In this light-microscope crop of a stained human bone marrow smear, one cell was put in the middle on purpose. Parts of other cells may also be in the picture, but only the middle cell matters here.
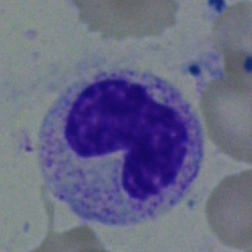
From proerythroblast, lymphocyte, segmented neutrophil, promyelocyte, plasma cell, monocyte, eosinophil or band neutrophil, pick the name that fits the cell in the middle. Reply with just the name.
band neutrophil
